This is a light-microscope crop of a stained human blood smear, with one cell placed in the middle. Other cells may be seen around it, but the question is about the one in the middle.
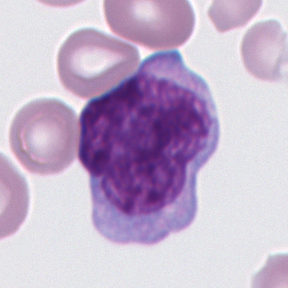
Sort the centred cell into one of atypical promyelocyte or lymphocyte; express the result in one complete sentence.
The central cell shown in this smear crop is an atypical promyelocyte.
